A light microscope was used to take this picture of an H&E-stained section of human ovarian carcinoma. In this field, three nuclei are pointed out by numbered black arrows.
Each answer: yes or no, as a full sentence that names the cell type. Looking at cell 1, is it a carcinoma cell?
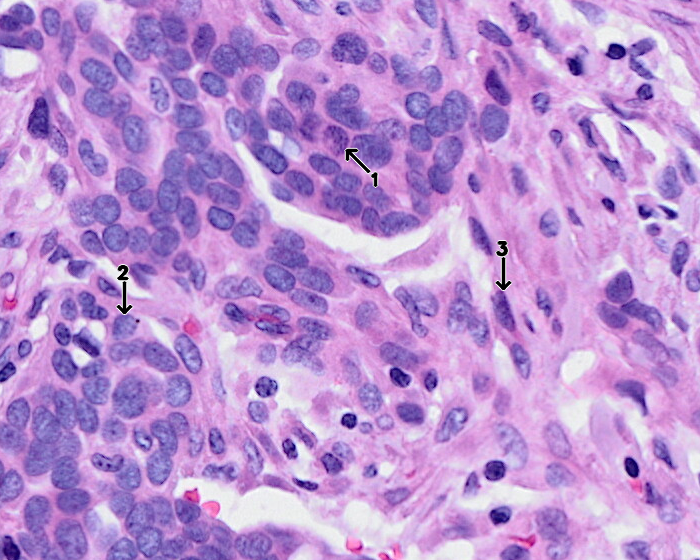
Yes, regarding number 1, the cell is a carcinoma cell.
